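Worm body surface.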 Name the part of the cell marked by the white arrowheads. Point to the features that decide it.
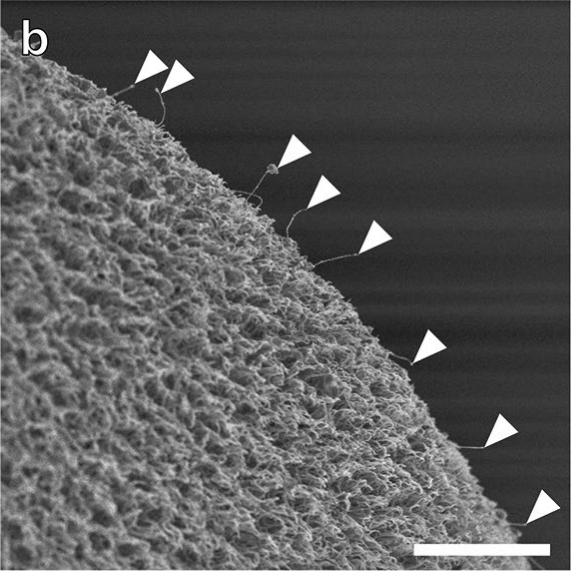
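Sensory cilia. Single thin filaments extend well beyond the edge of the surface. The surrounding surface is a dense carpet of much shorter filaments.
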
